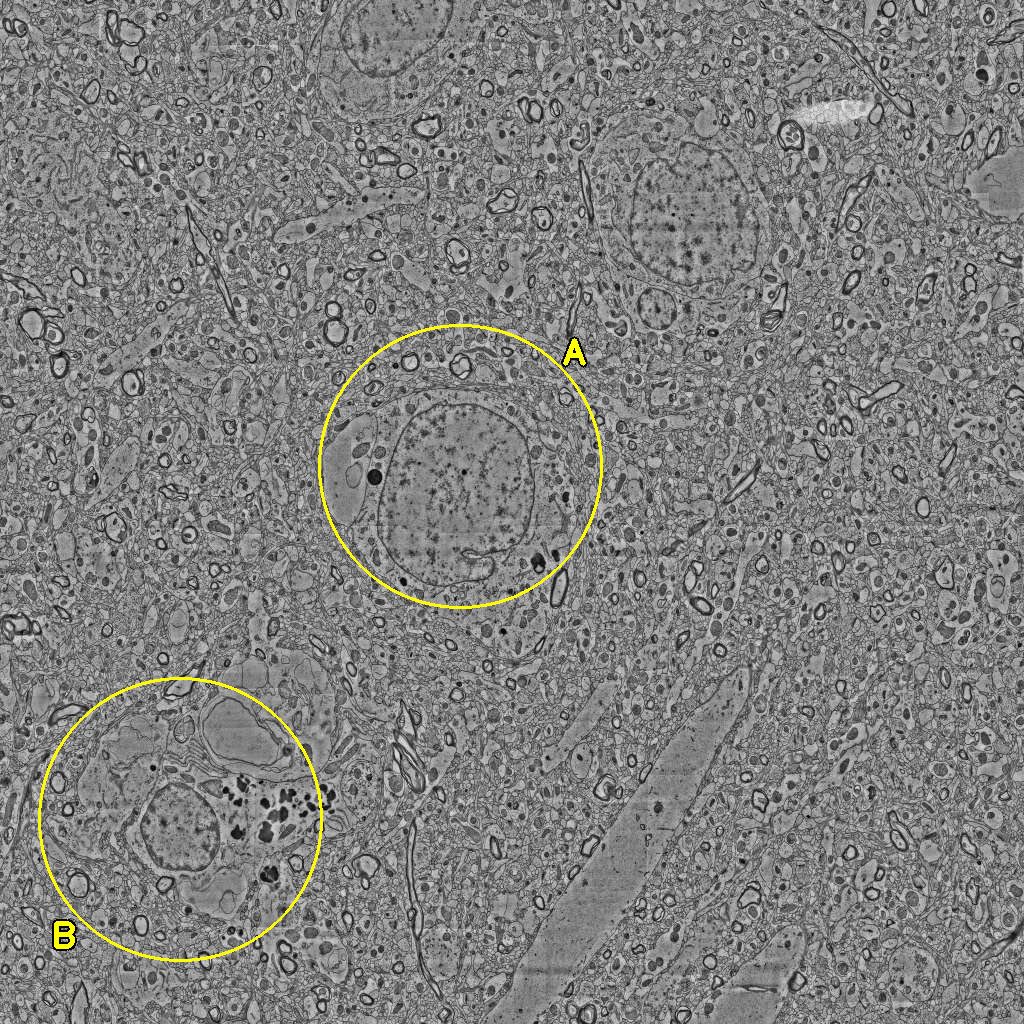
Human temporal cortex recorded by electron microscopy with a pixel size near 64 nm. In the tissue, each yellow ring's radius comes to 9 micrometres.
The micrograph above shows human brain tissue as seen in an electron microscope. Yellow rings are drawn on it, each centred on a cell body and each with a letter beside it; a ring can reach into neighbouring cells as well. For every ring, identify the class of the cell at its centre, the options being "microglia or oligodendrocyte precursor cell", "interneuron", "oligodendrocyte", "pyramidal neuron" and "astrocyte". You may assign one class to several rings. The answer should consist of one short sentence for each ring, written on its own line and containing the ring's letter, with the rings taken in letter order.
The ring lettered A is centred on a pyramidal neuron.
The ring lettered B is centred on an astrocyte.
